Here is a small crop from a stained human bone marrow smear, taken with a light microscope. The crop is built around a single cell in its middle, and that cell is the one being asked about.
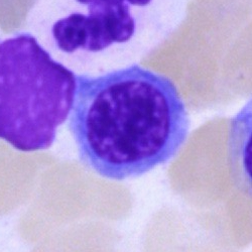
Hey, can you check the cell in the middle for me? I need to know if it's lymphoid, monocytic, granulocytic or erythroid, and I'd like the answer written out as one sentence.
The cell in the middle is allocated to the erythroid lineage.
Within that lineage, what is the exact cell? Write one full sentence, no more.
In the center of this field lies an erythroblast.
